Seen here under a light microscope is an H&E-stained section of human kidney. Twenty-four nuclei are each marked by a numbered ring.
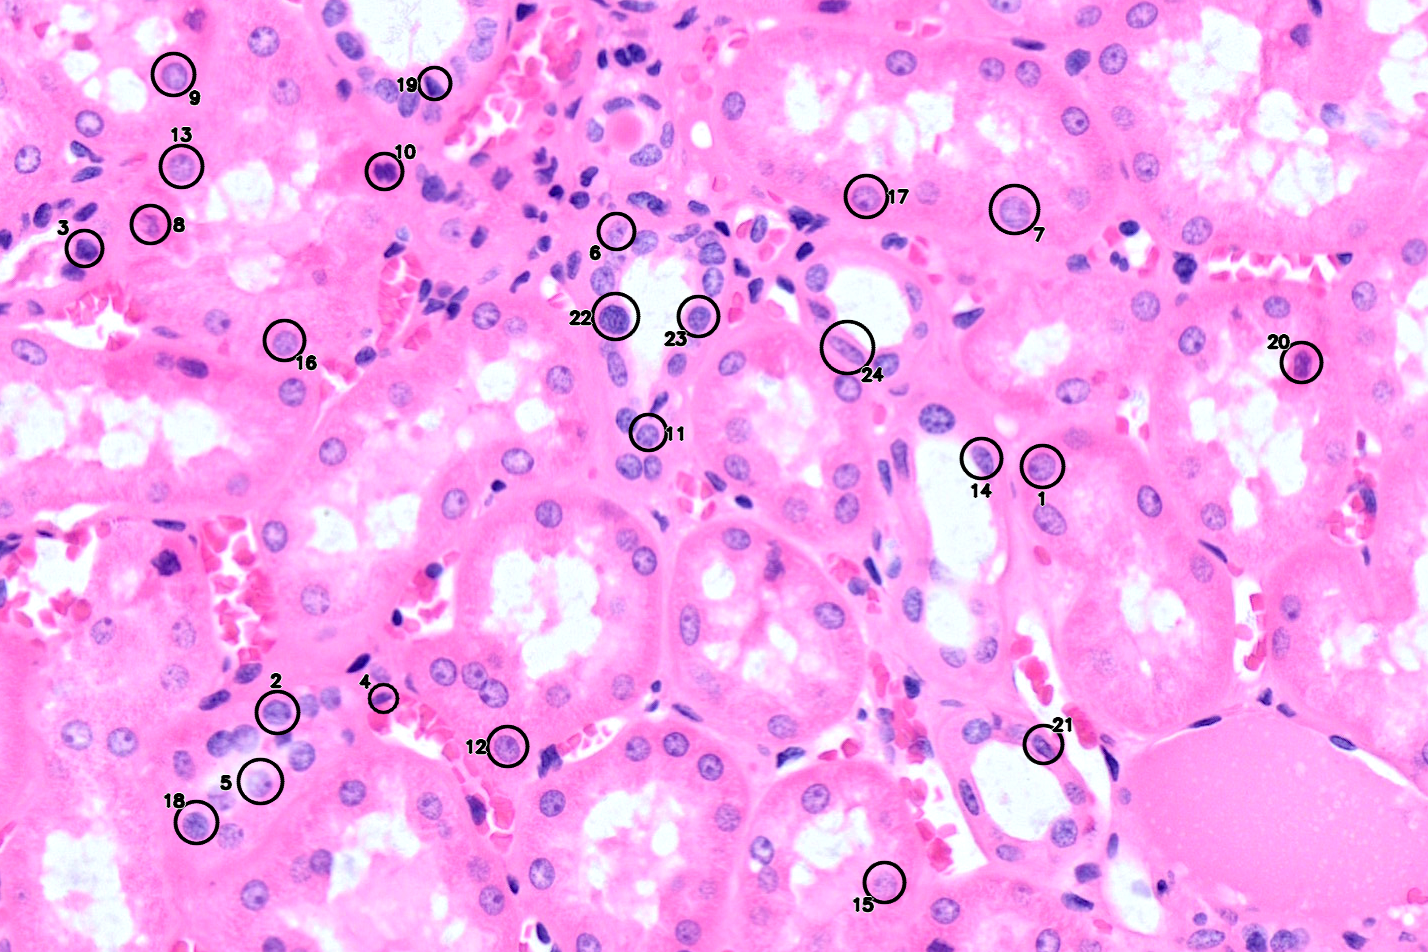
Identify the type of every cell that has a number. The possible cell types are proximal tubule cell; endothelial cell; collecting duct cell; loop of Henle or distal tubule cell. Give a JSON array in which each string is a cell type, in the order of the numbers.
["proximal tubule cell", "loop of Henle or distal tubule cell", "collecting duct cell", "endothelial cell", "loop of Henle or distal tubule cell", "collecting duct cell", "proximal tubule cell", "proximal tubule cell", "proximal tubule cell", "proximal tubule cell", "collecting duct cell", "proximal tubule cell", "proximal tubule cell", "collecting duct cell", "proximal tubule cell", "proximal tubule cell", "proximal tubule cell", "loop of Henle or distal tubule cell", "collecting duct cell", "proximal tubule cell", "collecting duct cell", "collecting duct cell", "collecting duct cell", "collecting duct cell"]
